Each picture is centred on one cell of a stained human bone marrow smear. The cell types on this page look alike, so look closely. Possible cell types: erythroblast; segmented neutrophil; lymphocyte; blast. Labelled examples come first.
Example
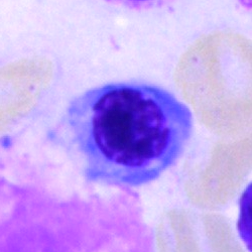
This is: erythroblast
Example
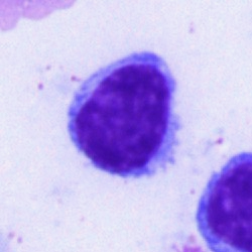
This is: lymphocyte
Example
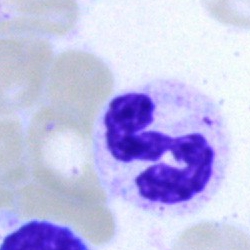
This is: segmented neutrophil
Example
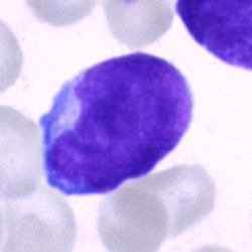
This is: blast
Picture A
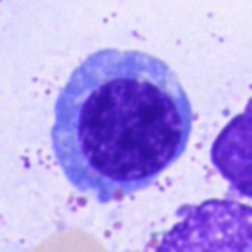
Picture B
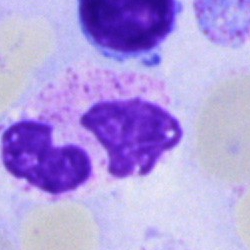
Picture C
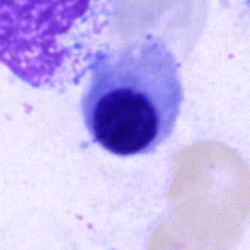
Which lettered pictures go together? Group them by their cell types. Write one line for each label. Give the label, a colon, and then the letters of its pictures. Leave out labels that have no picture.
erythroblast: A, C
segmented neutrophil: B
